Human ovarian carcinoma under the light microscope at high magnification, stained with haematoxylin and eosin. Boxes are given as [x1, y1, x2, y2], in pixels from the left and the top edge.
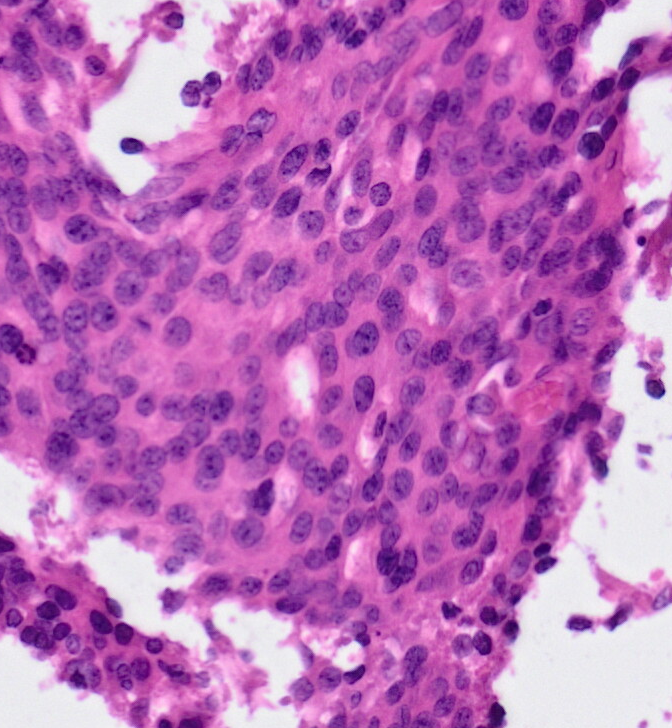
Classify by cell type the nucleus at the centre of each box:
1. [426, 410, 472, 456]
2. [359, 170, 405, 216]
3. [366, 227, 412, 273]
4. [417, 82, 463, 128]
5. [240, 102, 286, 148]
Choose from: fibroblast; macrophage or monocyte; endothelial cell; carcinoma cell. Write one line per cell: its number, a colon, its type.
1: carcinoma cell
2: macrophage or monocyte
3: carcinoma cell
4: carcinoma cell
5: endothelial cell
